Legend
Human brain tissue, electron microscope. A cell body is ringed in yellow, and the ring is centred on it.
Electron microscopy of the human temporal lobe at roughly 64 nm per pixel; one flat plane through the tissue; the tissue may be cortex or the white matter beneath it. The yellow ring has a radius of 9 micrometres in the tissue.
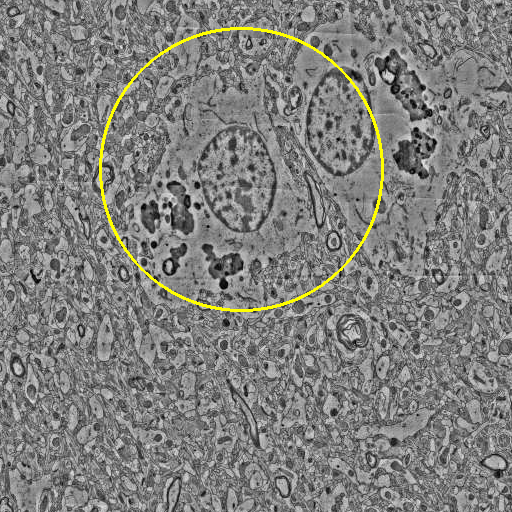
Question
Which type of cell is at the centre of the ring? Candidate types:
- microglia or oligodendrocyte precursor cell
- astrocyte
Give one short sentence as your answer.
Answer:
The yellow ring is centred here on an astrocyte.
